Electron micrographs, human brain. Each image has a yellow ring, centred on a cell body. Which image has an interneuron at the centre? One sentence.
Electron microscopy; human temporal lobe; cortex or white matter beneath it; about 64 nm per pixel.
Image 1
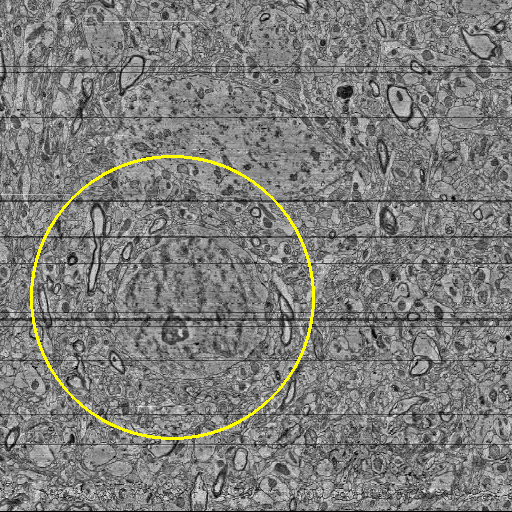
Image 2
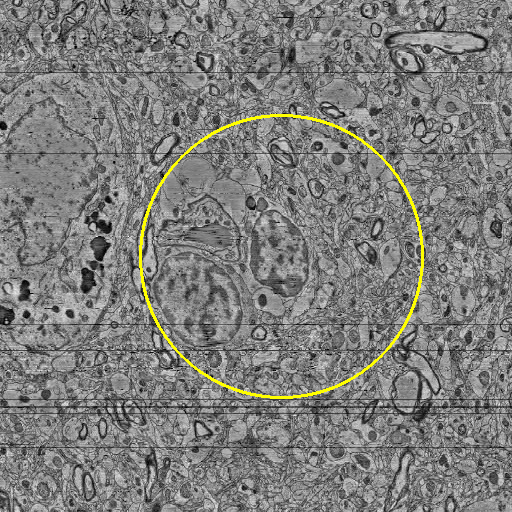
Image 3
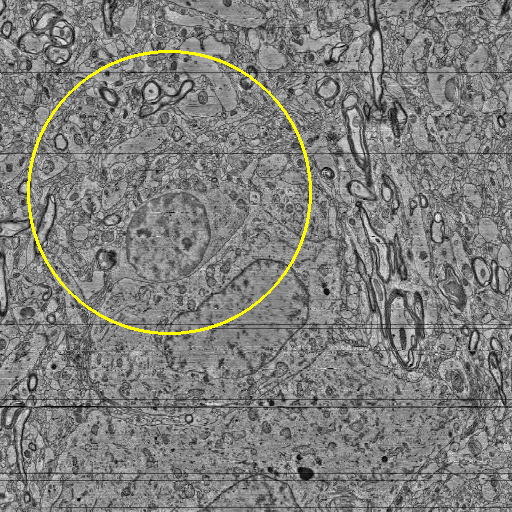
The ring in Image 1 is centred on it.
